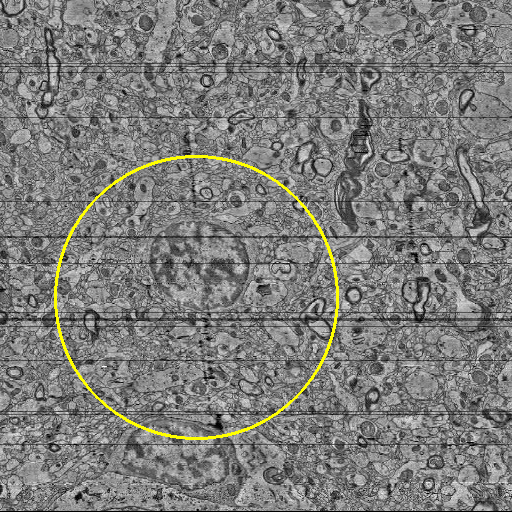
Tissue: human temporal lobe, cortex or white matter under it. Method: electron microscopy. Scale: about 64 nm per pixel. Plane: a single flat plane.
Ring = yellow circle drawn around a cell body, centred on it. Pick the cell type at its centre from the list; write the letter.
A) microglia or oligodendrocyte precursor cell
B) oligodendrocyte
B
